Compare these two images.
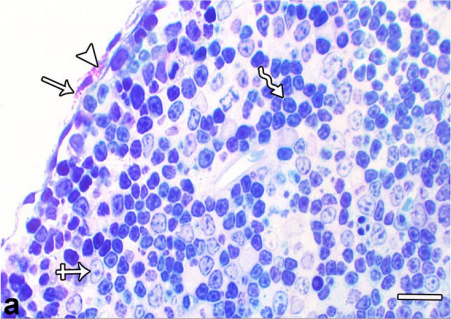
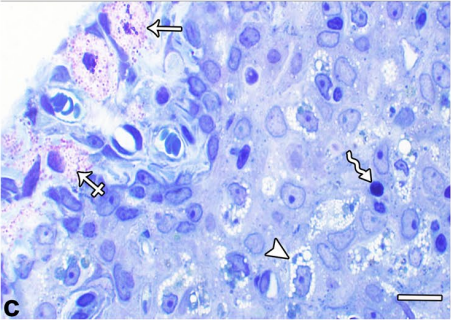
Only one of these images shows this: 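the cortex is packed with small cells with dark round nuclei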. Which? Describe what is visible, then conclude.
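The first image. Second image: few small dark cells lie among larger pale cells with vacuolated cytoplasm. First image: small cells with dark blue nuclei fill nearly the whole field.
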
